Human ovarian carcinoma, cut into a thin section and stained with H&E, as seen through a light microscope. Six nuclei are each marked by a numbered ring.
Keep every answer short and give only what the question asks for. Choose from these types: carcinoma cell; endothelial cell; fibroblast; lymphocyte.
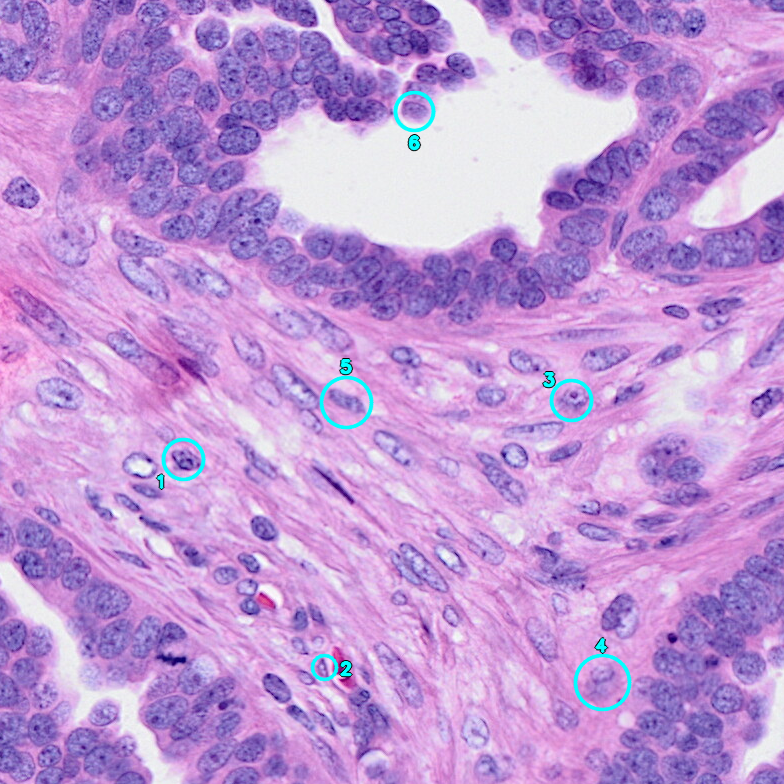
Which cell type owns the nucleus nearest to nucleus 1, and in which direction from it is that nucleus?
a fibroblast, above and to the left of nucleus 1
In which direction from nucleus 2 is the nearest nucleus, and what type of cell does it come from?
a fibroblast below and to the left of nucleus 2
